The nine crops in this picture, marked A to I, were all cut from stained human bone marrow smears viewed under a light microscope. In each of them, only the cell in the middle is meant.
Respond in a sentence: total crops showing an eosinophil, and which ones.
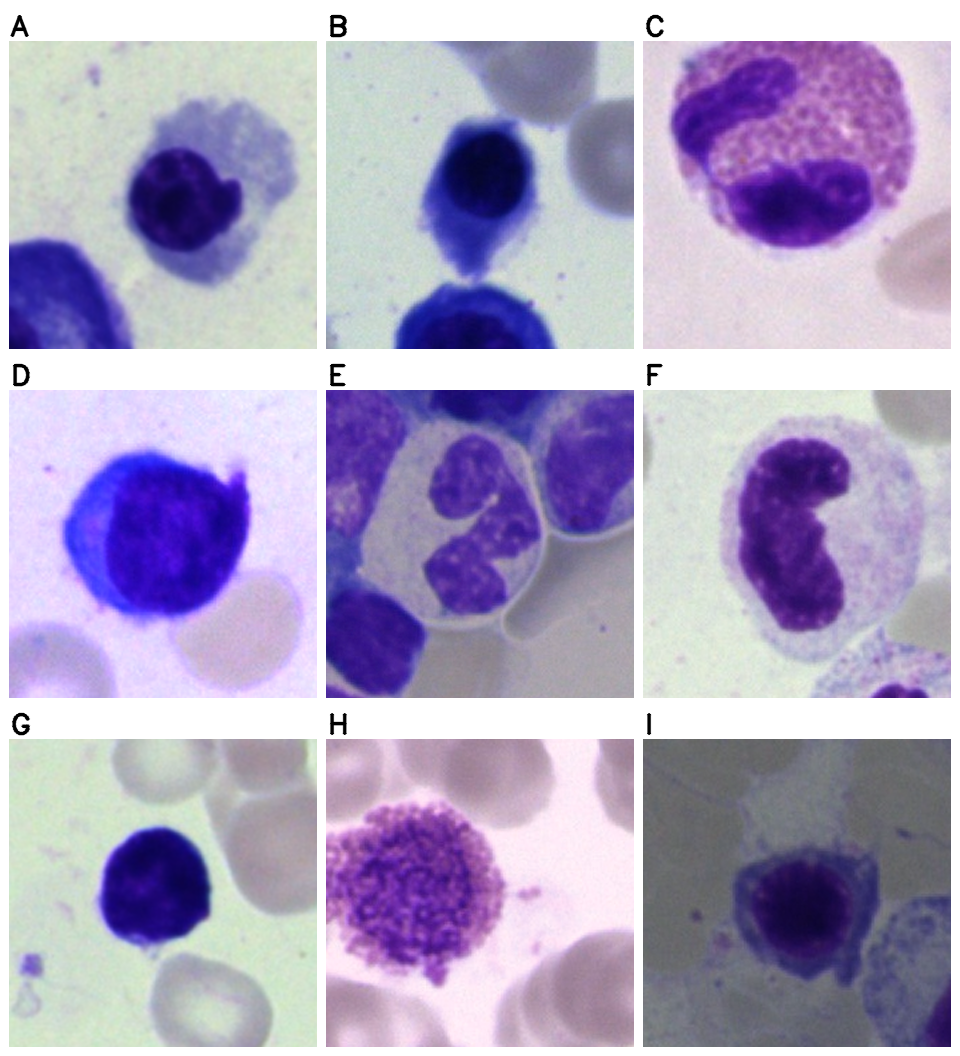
In short, two crops contain eosinophils: C and H.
